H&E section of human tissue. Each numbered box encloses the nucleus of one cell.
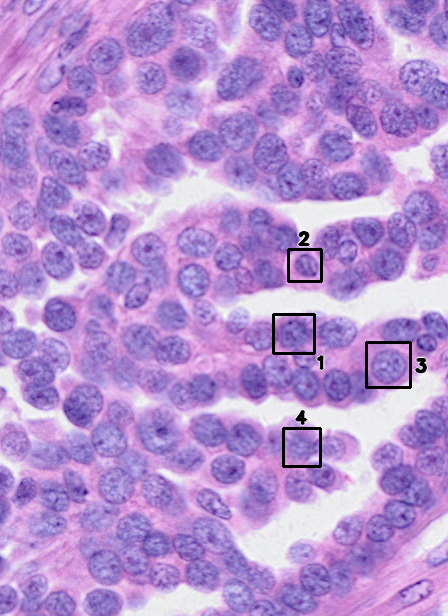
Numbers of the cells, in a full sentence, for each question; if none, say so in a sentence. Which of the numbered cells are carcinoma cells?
In this section, the cells numbered 1, 3 and 4 are carcinoma cells.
